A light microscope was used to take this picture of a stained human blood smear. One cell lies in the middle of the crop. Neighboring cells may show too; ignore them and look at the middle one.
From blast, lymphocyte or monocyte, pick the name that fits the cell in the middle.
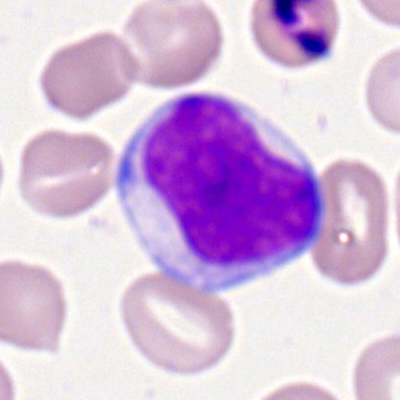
blast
